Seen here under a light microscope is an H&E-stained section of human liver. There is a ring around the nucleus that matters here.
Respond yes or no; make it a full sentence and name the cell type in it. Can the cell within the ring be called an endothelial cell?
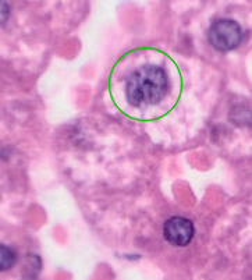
No, the cell within the ring is typed as a hepatocyte rather than as an endothelial cell.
